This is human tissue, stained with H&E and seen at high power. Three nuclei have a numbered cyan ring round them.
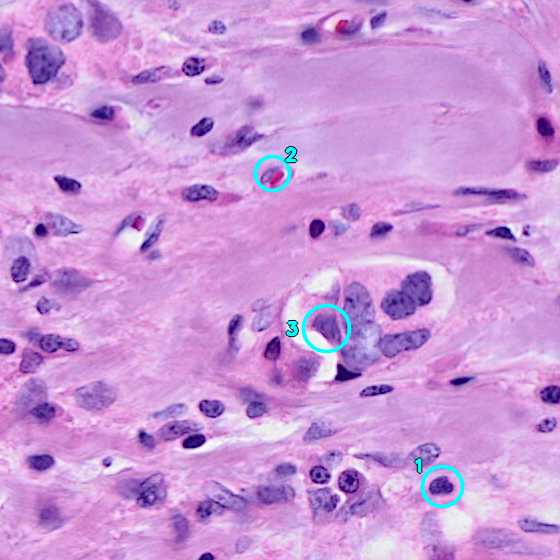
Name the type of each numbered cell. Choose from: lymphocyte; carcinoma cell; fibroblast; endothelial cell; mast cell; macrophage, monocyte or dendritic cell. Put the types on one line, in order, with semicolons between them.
lymphocyte; endothelial cell; carcinoma cell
